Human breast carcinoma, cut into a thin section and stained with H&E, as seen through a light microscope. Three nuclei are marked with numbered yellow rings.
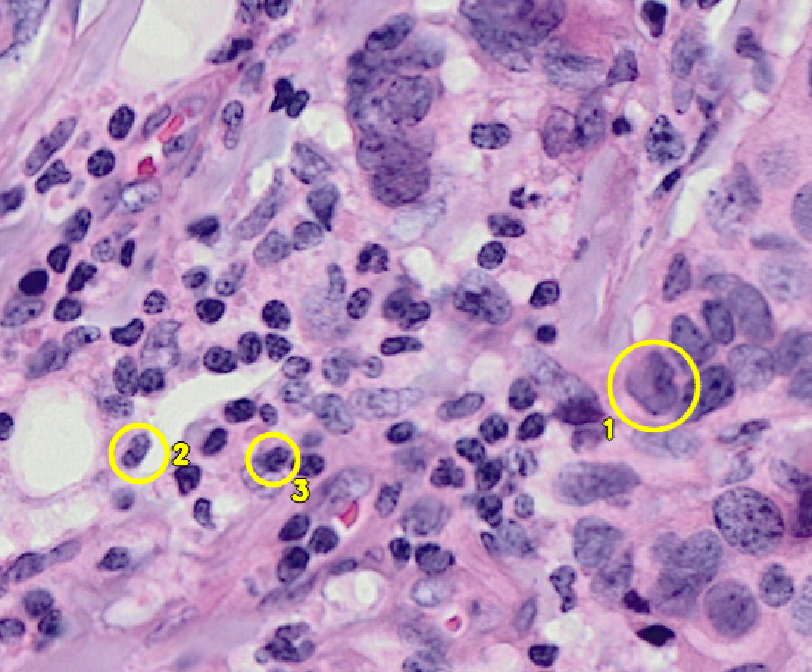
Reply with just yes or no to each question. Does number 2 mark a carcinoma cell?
no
